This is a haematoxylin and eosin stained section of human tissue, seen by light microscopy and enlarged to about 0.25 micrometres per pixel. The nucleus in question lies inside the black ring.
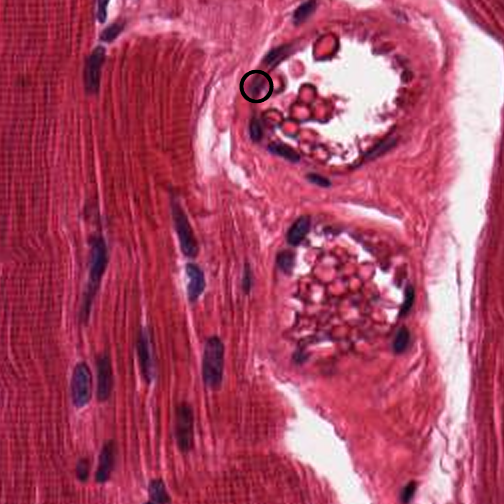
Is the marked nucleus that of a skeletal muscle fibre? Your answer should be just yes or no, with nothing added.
no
